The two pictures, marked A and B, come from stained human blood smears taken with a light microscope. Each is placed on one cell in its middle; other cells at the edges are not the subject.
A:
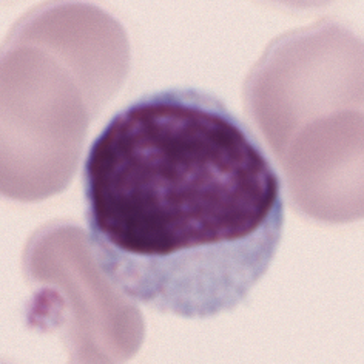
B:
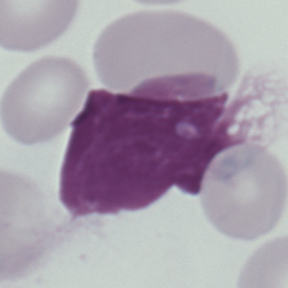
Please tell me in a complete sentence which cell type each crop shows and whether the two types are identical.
No, crop A corresponds to a typical lymphocyte, while crop B corresponds to a smudge cell.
